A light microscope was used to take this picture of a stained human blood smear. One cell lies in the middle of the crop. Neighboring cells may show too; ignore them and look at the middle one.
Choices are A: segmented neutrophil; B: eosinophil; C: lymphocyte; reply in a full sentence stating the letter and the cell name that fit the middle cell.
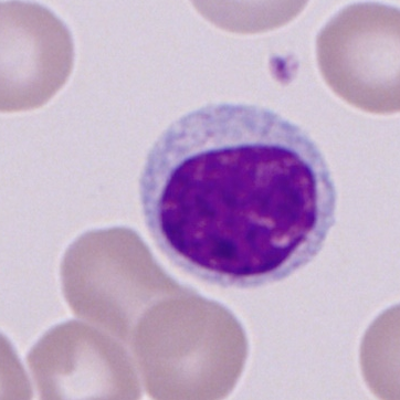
The cell centred in the crop is a lymphocyte, and the correct option is thus C.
